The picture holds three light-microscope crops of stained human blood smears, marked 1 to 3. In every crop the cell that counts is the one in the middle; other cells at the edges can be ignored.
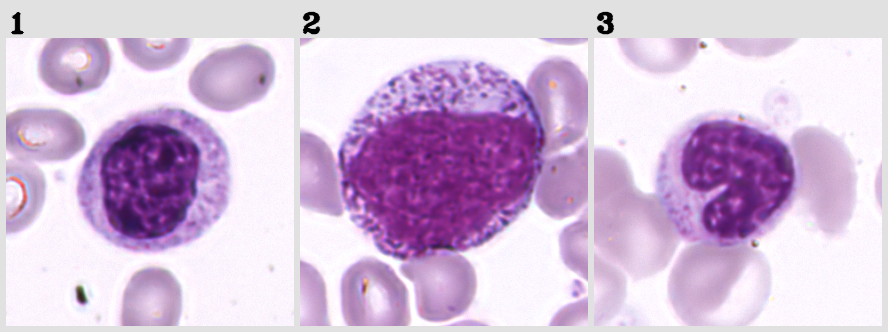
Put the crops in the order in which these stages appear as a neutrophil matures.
2, 1, 3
